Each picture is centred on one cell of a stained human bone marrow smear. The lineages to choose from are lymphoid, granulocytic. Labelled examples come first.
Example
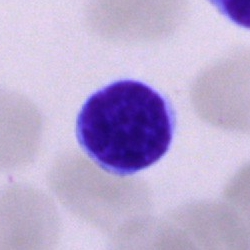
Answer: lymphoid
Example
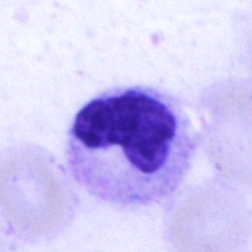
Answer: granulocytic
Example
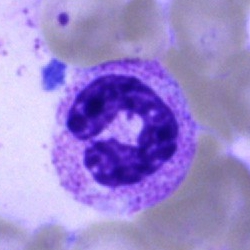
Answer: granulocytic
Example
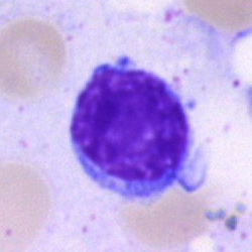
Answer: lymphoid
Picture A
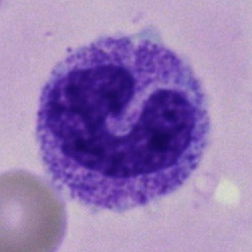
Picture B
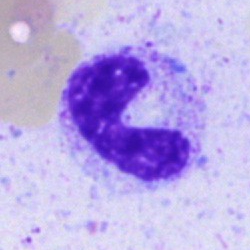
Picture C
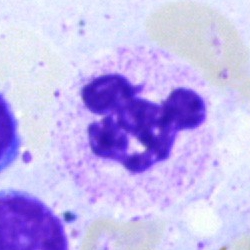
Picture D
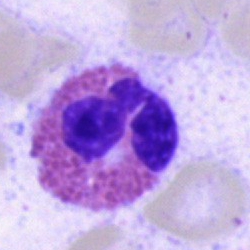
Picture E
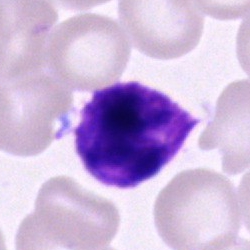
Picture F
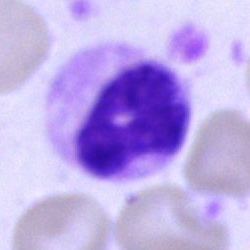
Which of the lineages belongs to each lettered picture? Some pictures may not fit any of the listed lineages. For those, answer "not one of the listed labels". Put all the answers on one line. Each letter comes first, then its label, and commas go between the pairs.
A granulocytic, B granulocytic, C granulocytic, D granulocytic, E granulocytic, F granulocytic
